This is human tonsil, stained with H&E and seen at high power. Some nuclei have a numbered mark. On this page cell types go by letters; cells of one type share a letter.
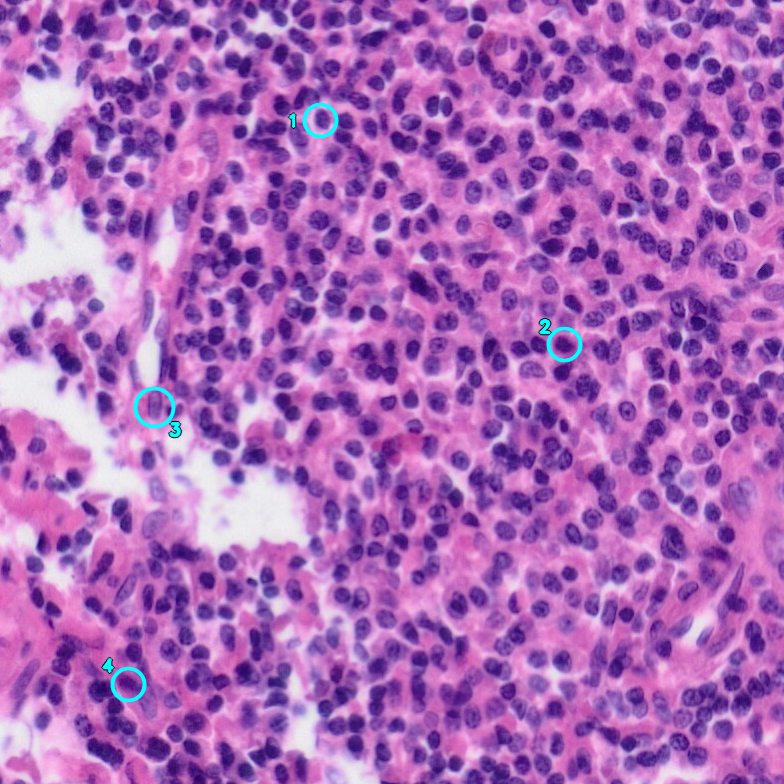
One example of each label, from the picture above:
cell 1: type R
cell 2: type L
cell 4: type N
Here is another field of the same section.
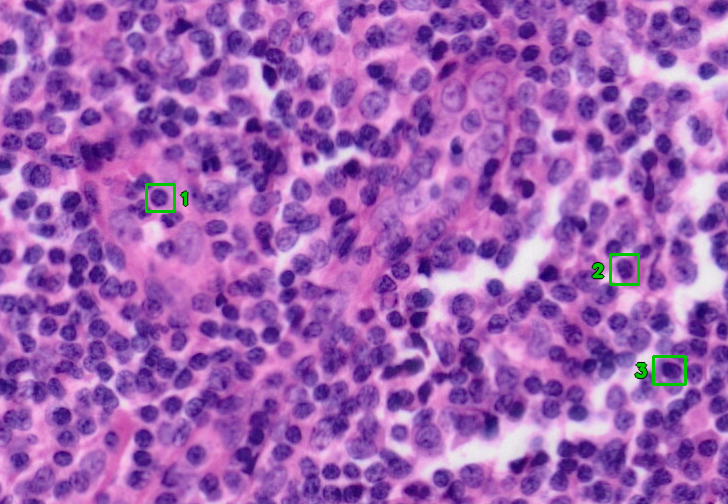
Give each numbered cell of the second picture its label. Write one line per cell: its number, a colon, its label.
1: type N
2: type L
3: type R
